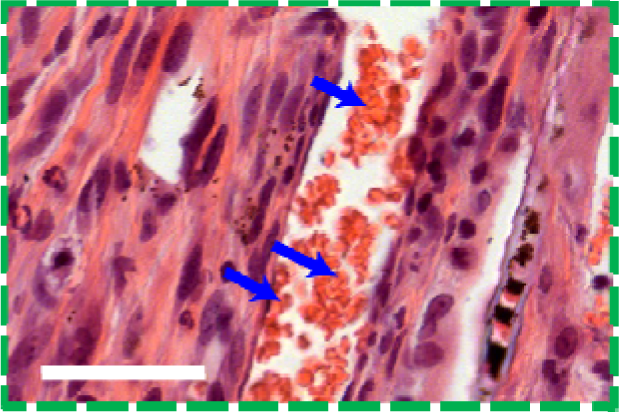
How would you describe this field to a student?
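Elongated cells with oval to spindle-shaped purple nuclei and pink cytoplasm are aligned diagonally across the field. A clear elongated space parallel to the cells holds many small round orange-red bodies without nuclei. Scattered dark brown-black granules lie near the channels.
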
